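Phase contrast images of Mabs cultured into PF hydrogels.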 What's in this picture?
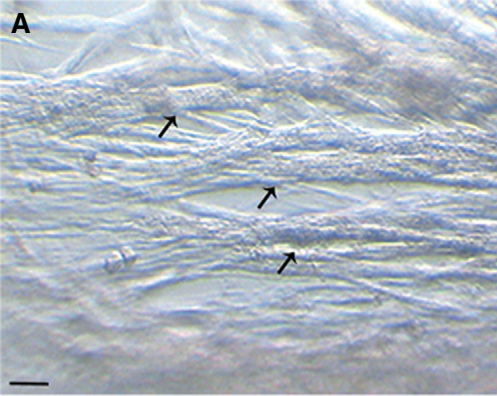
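A dense mass of long, spindle-shaped cells and thick fibres runs mostly from left to right, lying over one another at different depths so that some are sharp and others blurred. Several broad strands stand out as thicker and more granular than the slender cells around them, and they look like fused, elongated muscle fibres. Many thinner elongated cells run alongside them and cross between them, building a layered, interwoven meshwork rather than a flat sheet.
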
